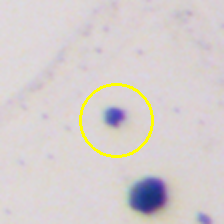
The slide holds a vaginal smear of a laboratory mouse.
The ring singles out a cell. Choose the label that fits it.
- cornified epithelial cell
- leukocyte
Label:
leukocyte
